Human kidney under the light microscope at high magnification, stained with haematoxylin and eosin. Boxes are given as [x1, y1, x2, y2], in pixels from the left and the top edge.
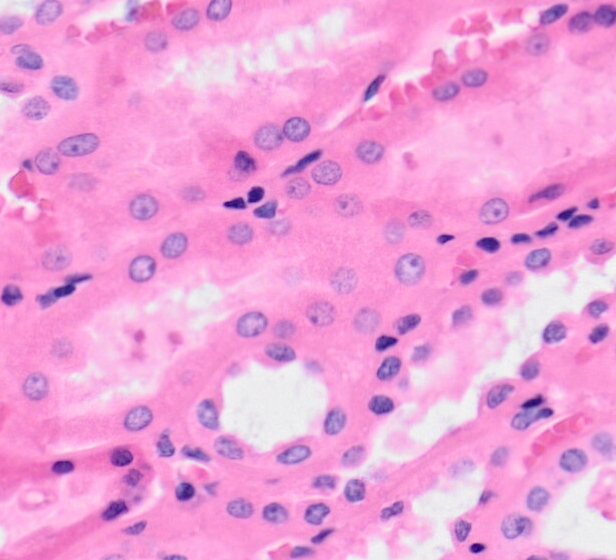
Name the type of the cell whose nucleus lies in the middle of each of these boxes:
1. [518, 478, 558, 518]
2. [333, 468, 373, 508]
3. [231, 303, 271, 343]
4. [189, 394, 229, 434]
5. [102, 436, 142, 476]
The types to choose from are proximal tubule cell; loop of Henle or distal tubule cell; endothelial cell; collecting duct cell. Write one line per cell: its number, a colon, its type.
1: collecting duct cell
2: loop of Henle or distal tubule cell
3: proximal tubule cell
4: loop of Henle or distal tubule cell
5: proximal tubule cell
